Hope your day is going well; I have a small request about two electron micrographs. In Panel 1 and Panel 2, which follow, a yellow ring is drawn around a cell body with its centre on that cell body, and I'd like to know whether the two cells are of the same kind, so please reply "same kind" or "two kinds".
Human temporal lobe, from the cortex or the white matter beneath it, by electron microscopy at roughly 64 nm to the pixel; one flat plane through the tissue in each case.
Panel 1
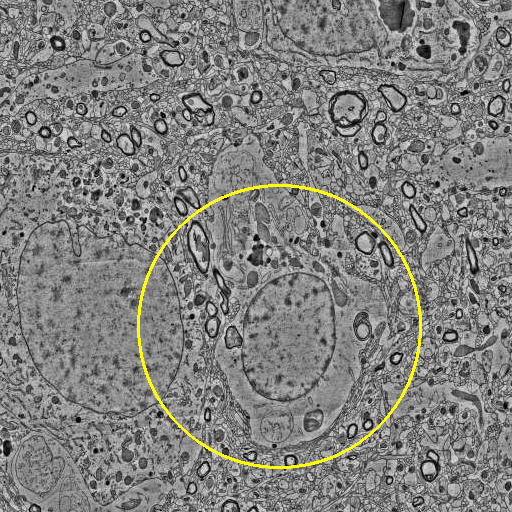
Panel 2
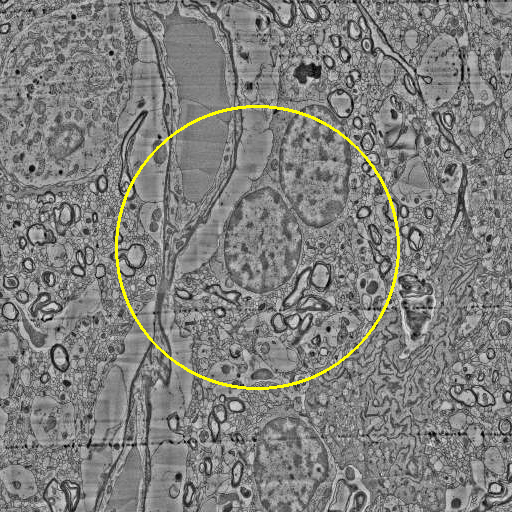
two kinds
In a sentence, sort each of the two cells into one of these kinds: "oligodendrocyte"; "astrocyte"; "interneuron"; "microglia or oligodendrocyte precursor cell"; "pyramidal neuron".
The first of the two cells is an astrocyte, and the second is an oligodendrocyte.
